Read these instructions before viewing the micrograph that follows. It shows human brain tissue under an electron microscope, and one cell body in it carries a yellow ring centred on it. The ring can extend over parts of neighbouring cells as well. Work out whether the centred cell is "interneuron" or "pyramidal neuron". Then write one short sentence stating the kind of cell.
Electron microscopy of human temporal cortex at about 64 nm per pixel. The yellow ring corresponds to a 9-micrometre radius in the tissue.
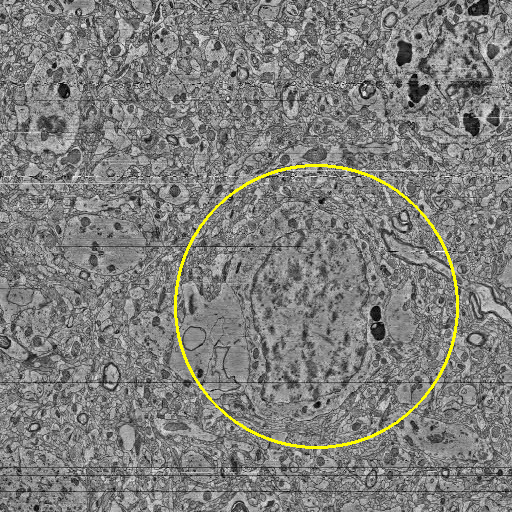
The ringed cell is an interneuron.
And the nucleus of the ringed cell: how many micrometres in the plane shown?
The nucleus appears roughly 11 by 8 micrometres in this plane.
